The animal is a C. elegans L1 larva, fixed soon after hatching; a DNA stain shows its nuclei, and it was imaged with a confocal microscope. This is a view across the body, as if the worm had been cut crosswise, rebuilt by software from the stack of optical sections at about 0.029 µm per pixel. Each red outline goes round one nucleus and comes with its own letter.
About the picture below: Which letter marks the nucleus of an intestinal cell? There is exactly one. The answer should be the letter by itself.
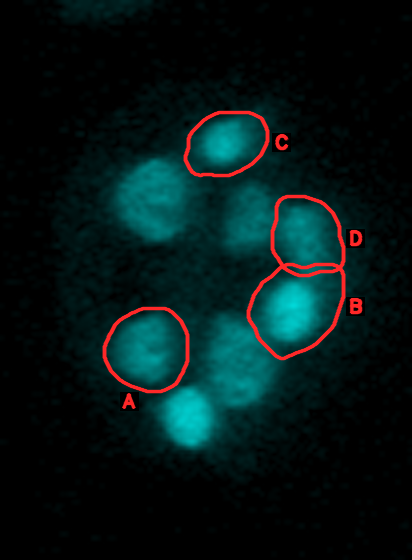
A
